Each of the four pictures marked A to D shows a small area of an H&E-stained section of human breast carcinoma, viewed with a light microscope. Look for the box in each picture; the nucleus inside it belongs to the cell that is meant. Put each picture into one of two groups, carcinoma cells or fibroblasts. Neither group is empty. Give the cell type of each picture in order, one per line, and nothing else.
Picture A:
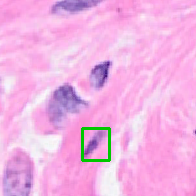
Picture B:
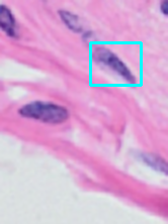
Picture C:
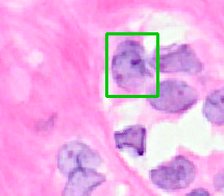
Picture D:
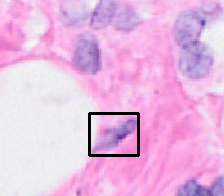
fibroblast
fibroblast
carcinoma cell
fibroblast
